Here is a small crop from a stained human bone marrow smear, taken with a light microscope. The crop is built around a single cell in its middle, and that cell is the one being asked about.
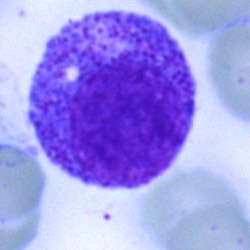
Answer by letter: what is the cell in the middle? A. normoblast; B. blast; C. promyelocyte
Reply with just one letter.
C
